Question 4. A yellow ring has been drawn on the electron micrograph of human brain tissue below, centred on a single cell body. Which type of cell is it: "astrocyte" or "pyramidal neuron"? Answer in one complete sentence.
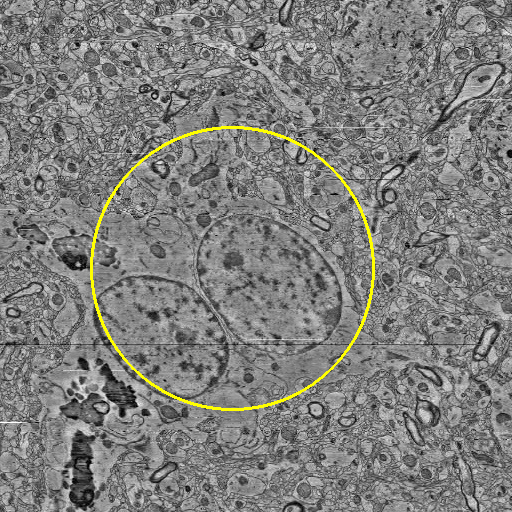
This cell body belongs to an astrocyte.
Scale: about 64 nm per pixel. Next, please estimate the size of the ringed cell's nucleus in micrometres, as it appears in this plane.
The nucleus works out at approximately 10 by 8 micrometres in this plane.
